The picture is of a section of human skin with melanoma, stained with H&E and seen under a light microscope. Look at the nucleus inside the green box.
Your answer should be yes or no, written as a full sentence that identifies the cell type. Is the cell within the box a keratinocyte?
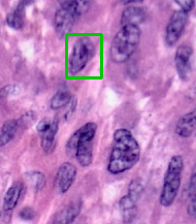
No, rather than a keratinocyte, the cell within the box is a melanoma cell.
